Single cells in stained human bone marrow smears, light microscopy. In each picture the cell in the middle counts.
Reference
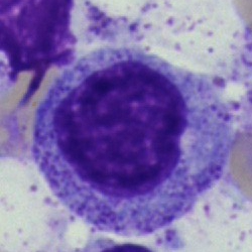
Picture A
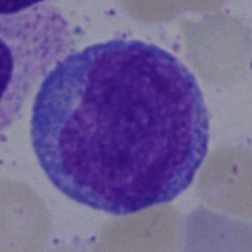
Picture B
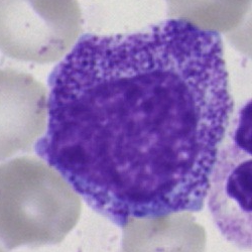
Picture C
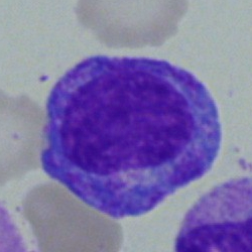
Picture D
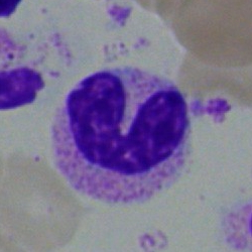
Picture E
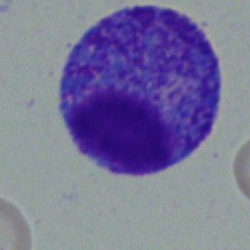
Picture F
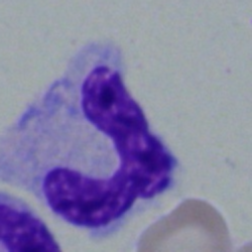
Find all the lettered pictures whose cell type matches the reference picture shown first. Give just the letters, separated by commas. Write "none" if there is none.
A, B, C, E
